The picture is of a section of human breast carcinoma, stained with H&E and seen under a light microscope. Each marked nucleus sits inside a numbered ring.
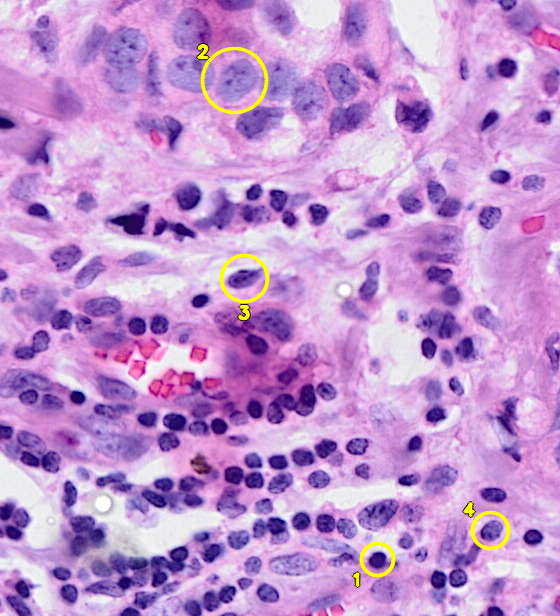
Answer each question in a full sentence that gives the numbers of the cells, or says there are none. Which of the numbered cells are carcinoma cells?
Exactly one numbered cell is a carcinoma cell, and that cell is number 2.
